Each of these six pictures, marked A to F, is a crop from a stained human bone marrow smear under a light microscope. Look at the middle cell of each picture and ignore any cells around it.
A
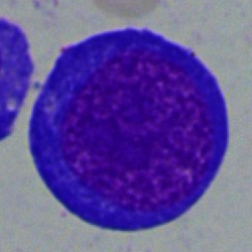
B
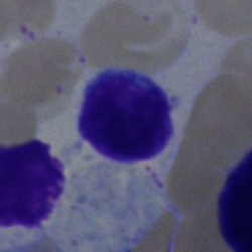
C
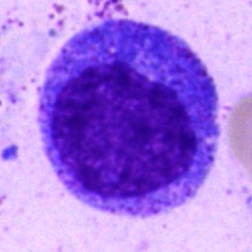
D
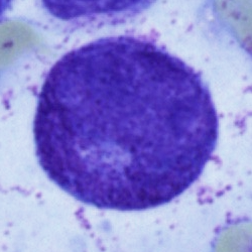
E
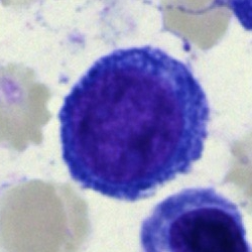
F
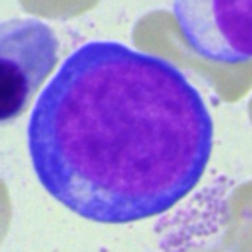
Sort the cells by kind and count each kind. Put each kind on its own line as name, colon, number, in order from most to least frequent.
proerythroblast: 3
promyelocyte: 2
lymphocyte: 1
